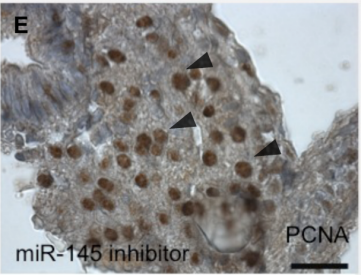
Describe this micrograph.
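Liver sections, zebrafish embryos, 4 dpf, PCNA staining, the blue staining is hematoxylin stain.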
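Most cells have a round nucleus stained dark brown, set in pale brownish-grey cytoplasm; the nuclei are of fairly even size and lie close to one another. A few nuclei are paler or bluish. Cell borders are faint. Arrowheads mark several brown-nucleated hepatocytes.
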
